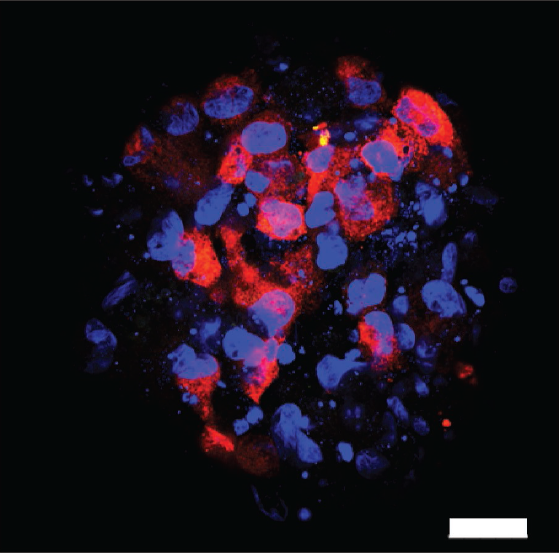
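This fluorescence image shows a compact, roughly round cluster of cells forming a spheroid. Many oval to irregular blue nuclei are packed closely throughout the aggregate. Red cytoplasmic staining surrounds a large share of the nuclei, concentrated especially in the upper and central parts of the cluster, while other cells, more toward the lower edge, show blue nuclei with little or no red around them. The cells have no regular layered arrangement; they are crowded together with indistinct borders, and the edge of the aggregate is uneven.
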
